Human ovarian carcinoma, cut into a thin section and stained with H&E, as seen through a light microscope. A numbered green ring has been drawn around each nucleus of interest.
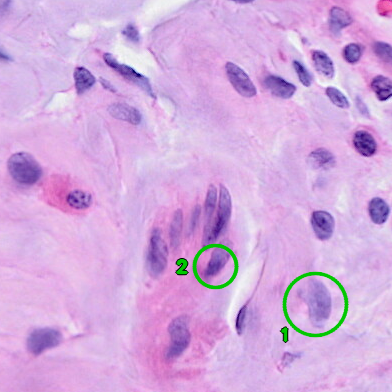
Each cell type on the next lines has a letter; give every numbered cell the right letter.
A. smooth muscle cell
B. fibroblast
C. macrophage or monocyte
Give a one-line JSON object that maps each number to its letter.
{"1": "B", "2": "A"}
